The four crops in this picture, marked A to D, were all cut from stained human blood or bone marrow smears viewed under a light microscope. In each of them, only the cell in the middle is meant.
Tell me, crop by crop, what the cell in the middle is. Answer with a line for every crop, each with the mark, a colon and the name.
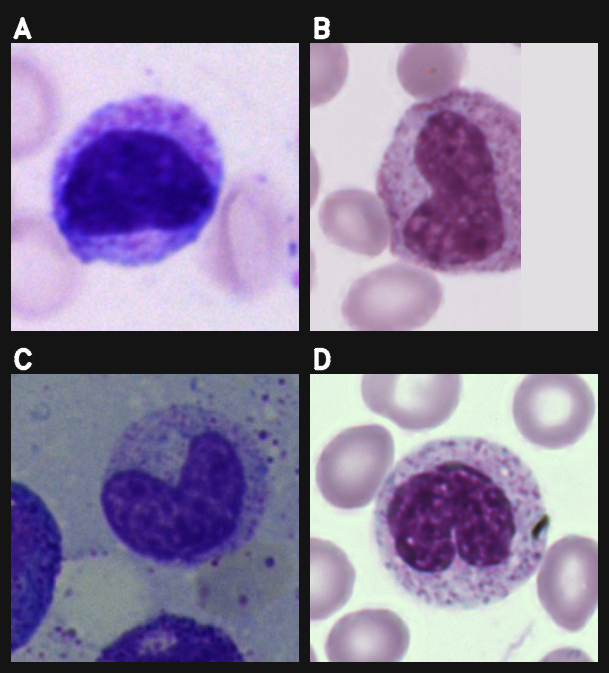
A: metamyelocyte
B: metamyelocyte
C: metamyelocyte
D: band neutrophil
